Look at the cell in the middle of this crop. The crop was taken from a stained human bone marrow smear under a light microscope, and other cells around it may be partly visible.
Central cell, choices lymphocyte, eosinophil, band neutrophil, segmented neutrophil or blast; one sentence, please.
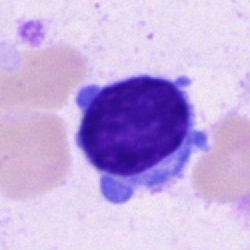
The cell of interest, in the center, is a lymphocyte.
